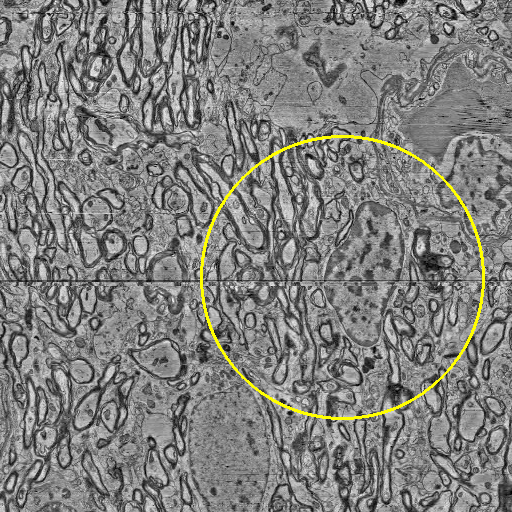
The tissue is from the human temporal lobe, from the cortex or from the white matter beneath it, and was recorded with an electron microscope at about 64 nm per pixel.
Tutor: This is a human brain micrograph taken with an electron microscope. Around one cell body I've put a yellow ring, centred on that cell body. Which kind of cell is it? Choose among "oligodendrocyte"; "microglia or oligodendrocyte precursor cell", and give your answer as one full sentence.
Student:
Going by your list, the cell centred in the yellow ring is a microglial cell or oligodendrocyte precursor cell.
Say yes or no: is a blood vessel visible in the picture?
Yes, there is a blood vessel in the image.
